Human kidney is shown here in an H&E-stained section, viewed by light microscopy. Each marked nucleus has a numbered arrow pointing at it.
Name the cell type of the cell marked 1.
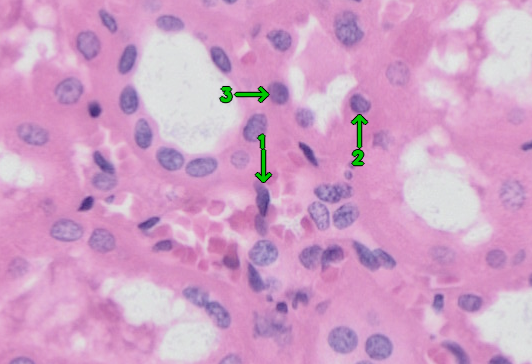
endothelial cell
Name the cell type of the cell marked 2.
loop of Henle or distal tubule cell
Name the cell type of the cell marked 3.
loop of Henle or distal tubule cell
